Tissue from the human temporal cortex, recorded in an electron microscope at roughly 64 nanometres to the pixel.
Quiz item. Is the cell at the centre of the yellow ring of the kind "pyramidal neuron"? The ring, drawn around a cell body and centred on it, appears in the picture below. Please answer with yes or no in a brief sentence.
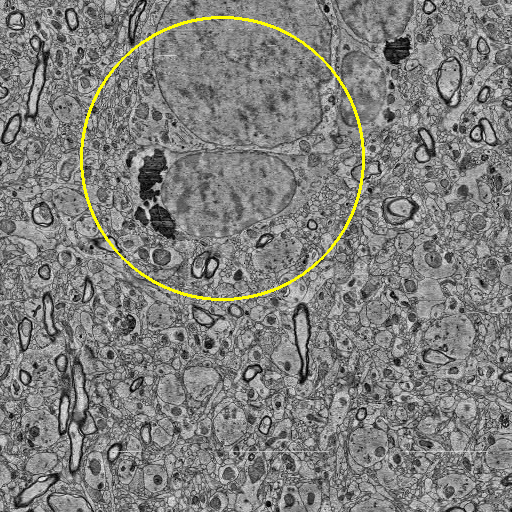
No, it is another kind of cell.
